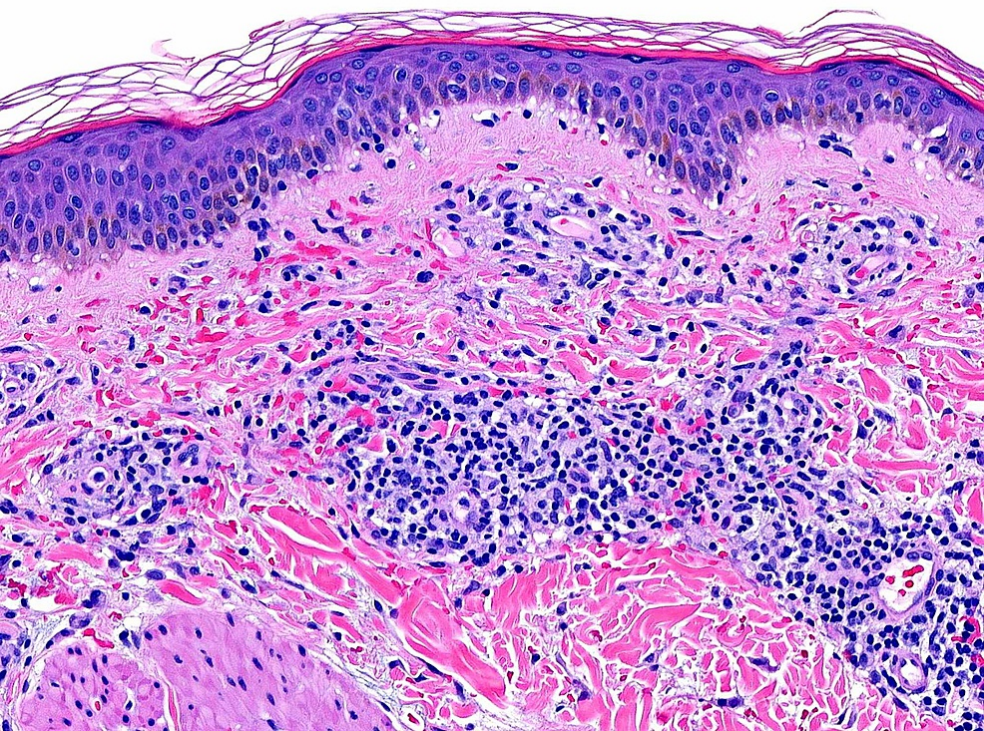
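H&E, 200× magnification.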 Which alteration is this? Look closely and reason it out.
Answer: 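Dense collections of small dark round nuclei lie in the upper dermis. The collections cluster around small vessels below the epidermis. That points to this answer: Superficial perivascular infiltrate.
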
